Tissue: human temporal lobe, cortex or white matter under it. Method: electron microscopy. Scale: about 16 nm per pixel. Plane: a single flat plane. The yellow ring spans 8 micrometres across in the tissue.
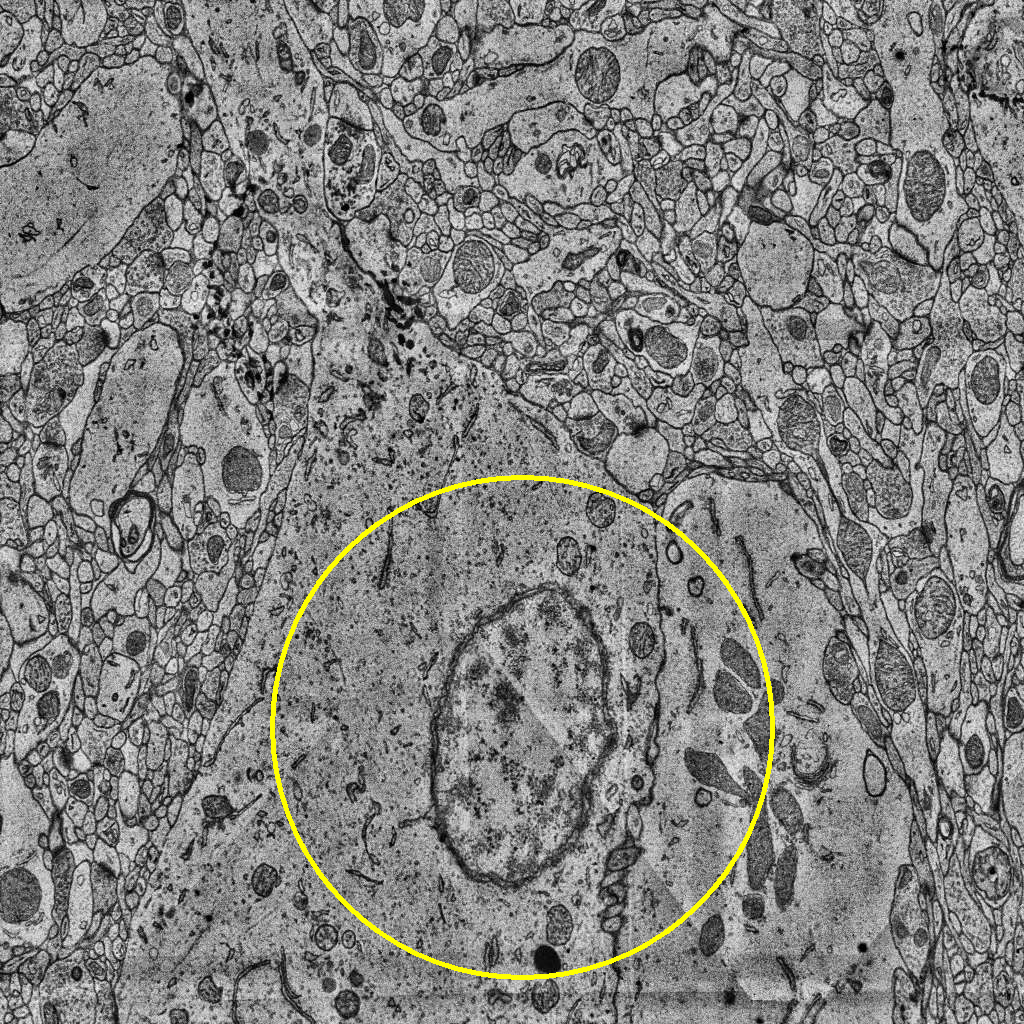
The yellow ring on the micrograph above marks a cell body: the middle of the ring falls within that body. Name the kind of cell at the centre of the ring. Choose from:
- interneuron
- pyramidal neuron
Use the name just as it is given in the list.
pyramidal neuron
